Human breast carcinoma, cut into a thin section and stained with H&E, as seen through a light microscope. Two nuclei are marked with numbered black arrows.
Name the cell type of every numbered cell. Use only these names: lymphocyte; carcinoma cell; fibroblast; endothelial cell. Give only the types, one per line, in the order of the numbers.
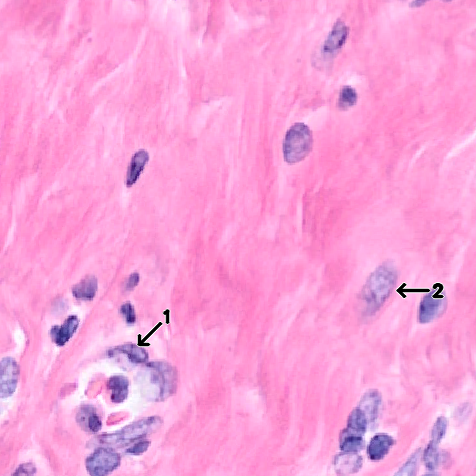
endothelial cell
fibroblast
